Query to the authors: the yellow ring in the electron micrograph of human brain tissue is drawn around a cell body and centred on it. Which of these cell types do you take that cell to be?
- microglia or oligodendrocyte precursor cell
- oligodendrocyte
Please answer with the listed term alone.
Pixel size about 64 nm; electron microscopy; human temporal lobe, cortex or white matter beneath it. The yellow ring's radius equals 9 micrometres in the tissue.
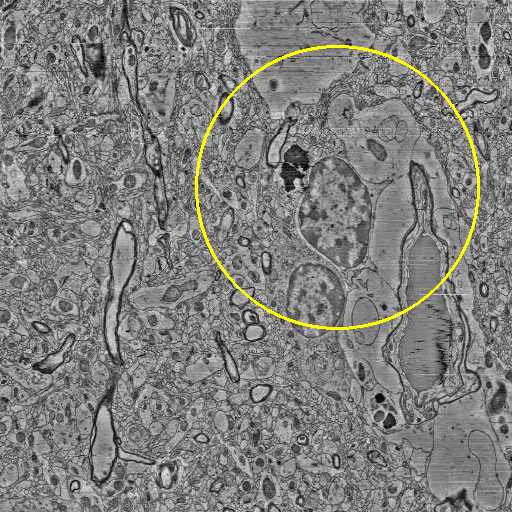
microglia or oligodendrocyte precursor cell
